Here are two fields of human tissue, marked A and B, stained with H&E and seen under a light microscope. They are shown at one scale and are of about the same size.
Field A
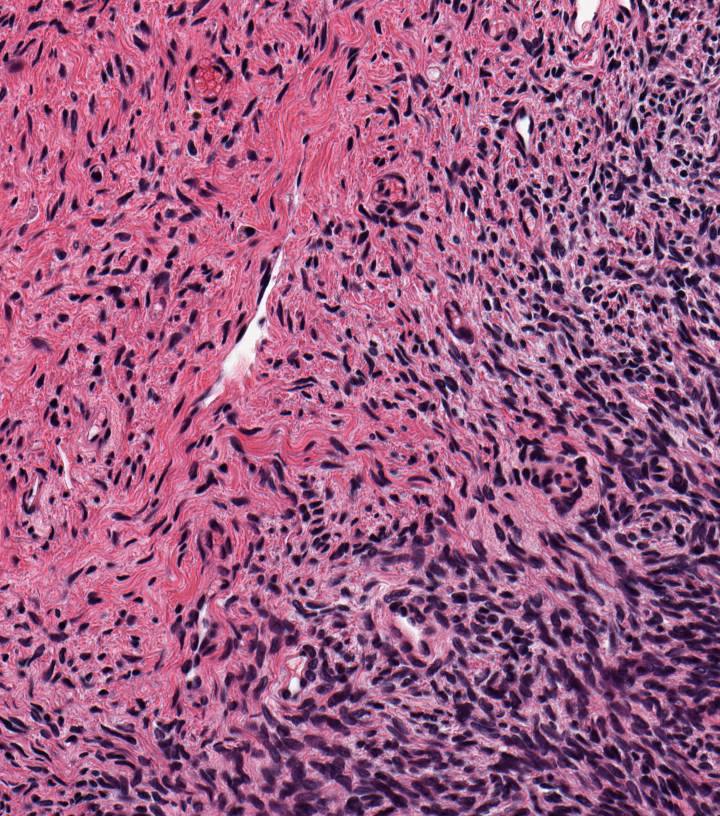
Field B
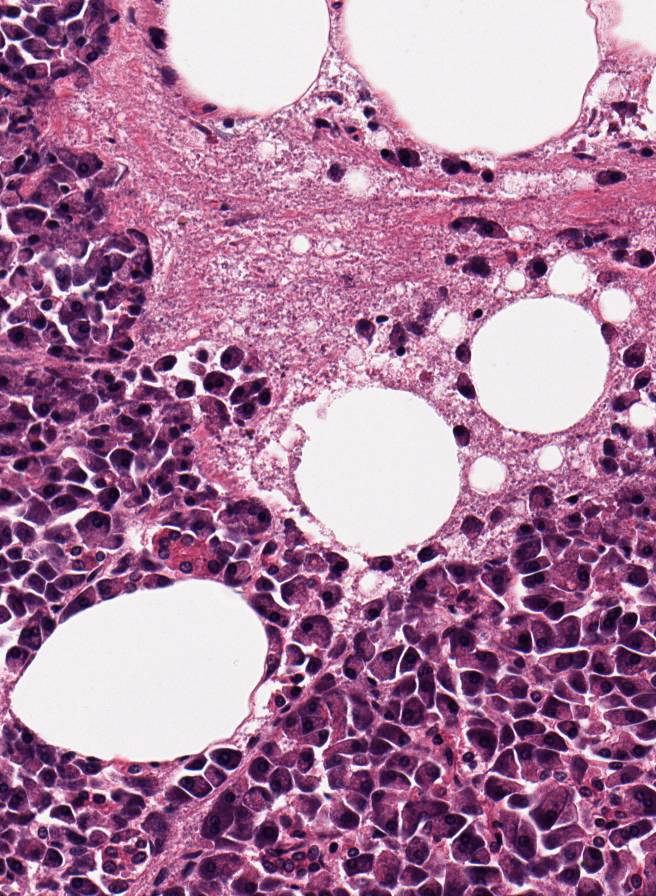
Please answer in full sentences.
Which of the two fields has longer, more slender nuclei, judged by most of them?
It is field A whose nuclei are the more elongated.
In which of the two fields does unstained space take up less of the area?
Unstained space takes up less of field A than of field B.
